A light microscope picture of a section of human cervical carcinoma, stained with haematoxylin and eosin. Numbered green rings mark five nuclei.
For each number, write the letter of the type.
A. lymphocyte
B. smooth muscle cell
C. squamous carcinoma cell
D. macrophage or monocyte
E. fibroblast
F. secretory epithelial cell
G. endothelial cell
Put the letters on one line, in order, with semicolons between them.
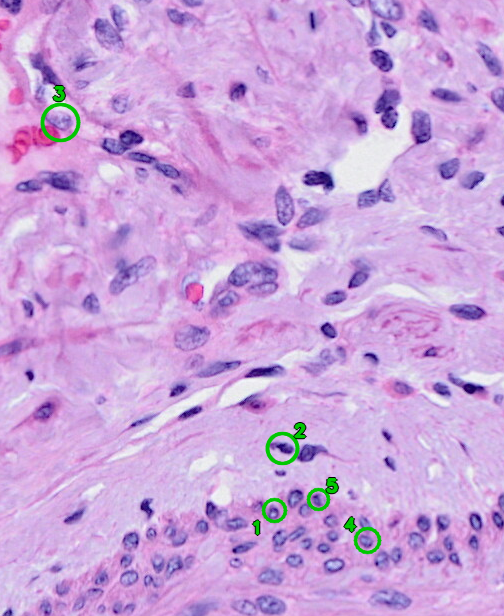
B; E; G; B; B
